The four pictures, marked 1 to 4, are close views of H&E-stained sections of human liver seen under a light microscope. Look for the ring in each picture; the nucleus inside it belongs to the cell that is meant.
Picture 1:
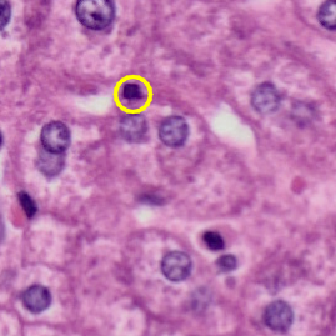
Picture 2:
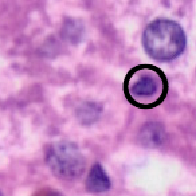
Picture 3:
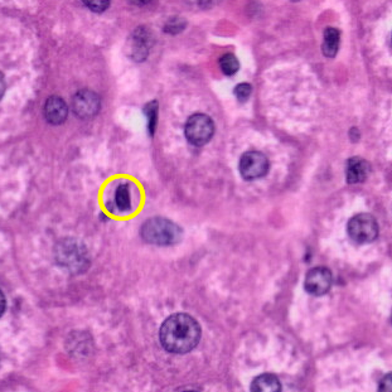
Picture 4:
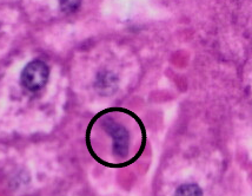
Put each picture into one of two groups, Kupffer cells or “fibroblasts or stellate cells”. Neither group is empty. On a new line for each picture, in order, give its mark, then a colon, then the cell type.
1: fibroblast or stellate cell
2: fibroblast or stellate cell
3: fibroblast or stellate cell
4: Kupffer cell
